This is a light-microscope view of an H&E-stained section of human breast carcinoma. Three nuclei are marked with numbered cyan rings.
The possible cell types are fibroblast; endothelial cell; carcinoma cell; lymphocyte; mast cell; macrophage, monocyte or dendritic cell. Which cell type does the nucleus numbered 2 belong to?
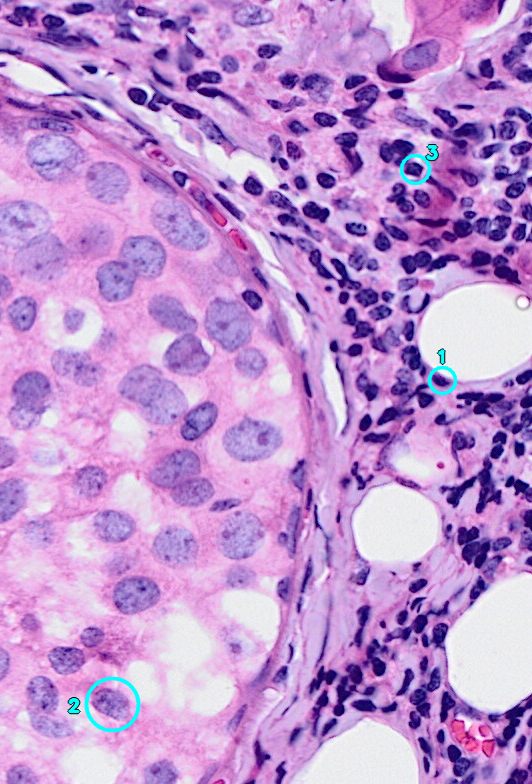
carcinoma cell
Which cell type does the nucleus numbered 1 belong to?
lymphocyte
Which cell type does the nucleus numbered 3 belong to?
lymphocyte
